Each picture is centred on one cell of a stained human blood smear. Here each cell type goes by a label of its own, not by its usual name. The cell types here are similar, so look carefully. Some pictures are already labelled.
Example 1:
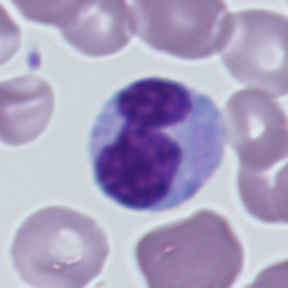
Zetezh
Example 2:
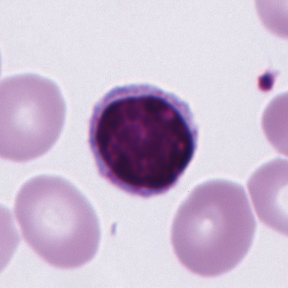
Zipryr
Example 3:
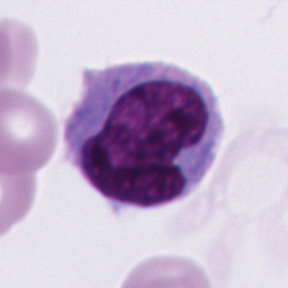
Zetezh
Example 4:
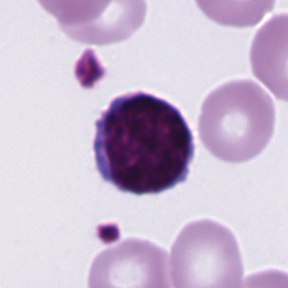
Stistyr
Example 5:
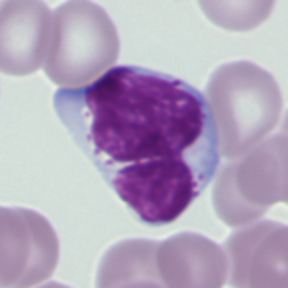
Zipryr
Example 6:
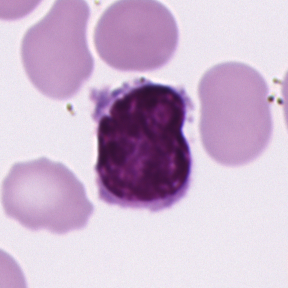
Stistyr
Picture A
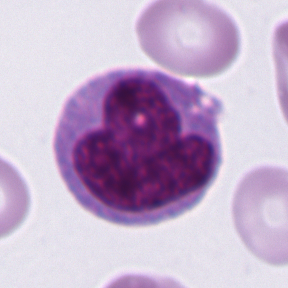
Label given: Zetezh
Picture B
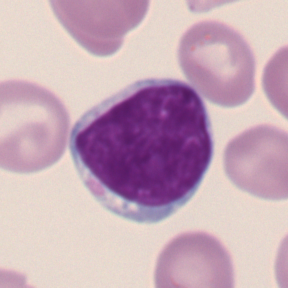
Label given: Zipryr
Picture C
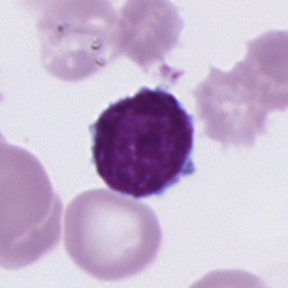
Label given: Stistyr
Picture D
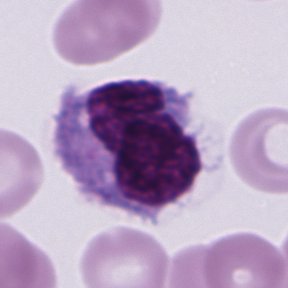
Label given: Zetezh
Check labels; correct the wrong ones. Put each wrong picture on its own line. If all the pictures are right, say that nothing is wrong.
Every label is right.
